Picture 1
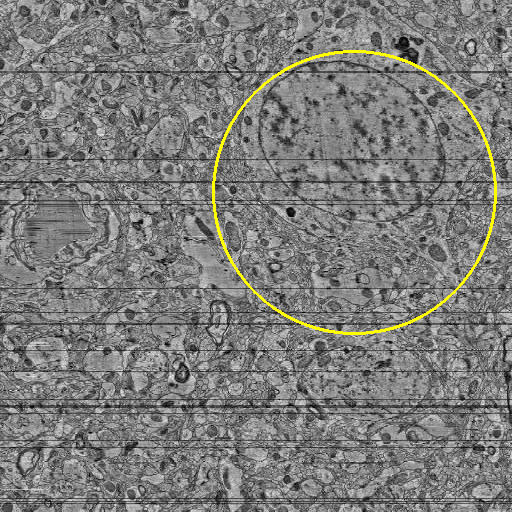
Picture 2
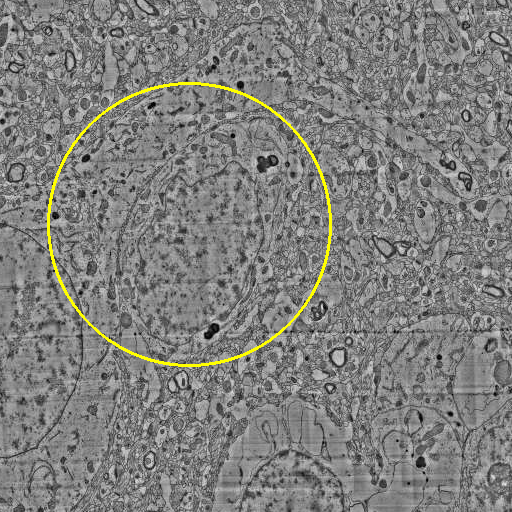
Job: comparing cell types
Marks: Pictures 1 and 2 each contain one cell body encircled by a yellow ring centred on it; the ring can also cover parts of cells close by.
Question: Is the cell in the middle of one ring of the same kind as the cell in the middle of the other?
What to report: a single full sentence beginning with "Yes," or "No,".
No, the cell at the ring centre in Picture 1 and its partner in Picture 2 are of two kinds.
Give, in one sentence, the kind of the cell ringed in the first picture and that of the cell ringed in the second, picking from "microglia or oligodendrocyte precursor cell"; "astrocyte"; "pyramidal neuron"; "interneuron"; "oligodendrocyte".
For the first picture it is a pyramidal neuron; for the second, an interneuron.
